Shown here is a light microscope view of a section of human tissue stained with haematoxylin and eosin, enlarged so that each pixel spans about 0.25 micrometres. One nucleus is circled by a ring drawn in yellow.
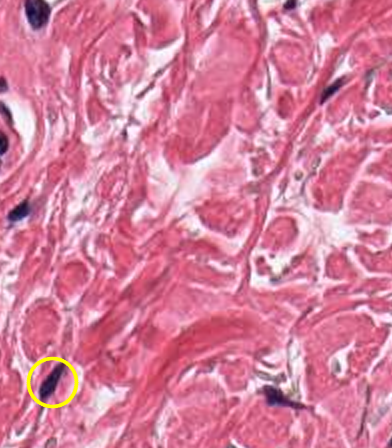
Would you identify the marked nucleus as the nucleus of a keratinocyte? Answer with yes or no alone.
no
